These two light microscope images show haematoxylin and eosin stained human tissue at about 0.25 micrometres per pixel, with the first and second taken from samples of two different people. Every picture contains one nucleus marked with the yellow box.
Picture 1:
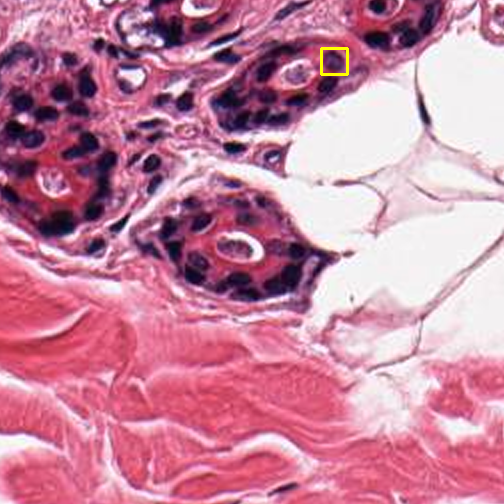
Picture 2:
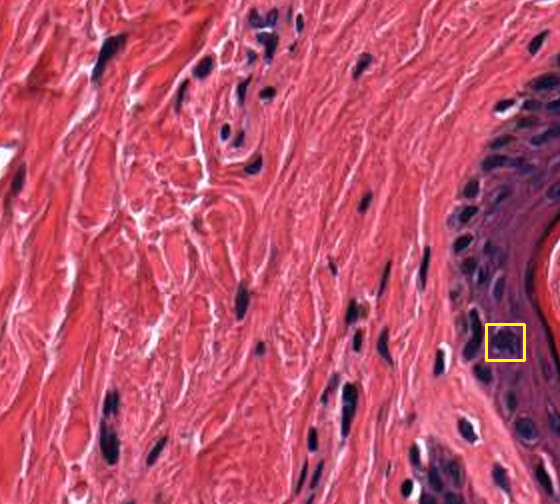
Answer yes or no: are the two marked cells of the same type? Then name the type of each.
No, the first is a sweat gland cell and the second a keratinocyte.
